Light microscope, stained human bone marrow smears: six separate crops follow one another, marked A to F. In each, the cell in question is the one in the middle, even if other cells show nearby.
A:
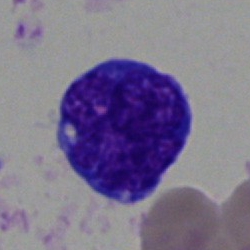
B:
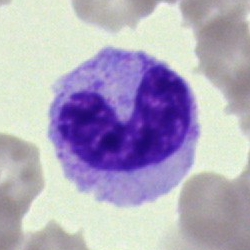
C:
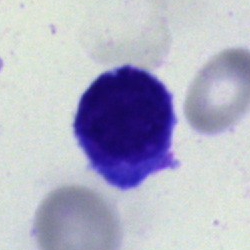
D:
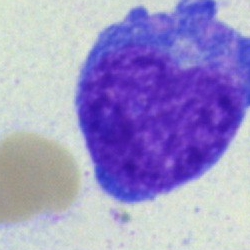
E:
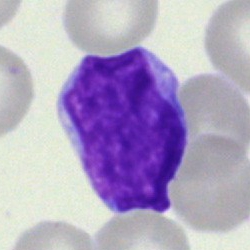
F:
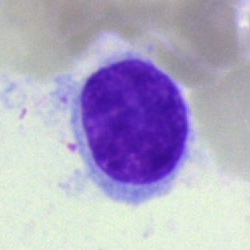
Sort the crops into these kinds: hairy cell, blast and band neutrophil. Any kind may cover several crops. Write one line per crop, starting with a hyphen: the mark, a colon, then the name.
- A: blast
- B: band neutrophil
- C: blast
- D: blast
- E: blast
- F: hairy cell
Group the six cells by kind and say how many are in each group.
blast: 4
band neutrophil: 1
hairy cell: 1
